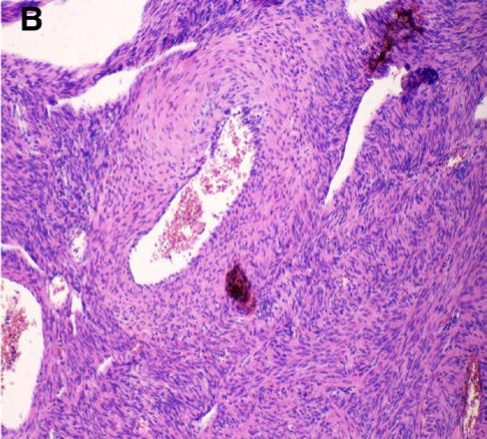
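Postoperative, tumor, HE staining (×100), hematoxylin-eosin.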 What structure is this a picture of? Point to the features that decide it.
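Several irregularly shaped open spaces. Some spaces contain red blood cells. The spaces differ in size. The answer: Multiple irregular vascular channels of varying sizes.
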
